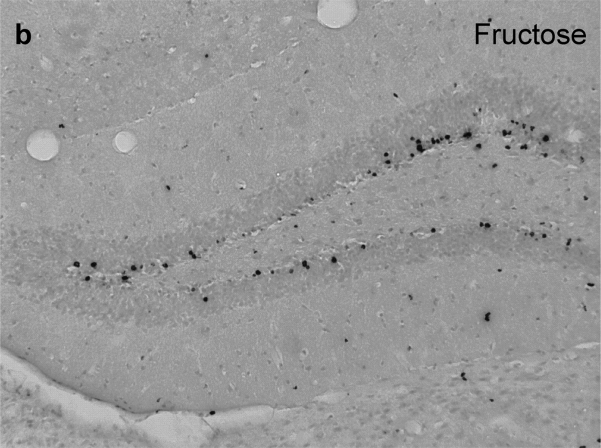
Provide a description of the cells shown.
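This section shows the dentate gyrus of the hippocampus, where the granule cell layer appears as a curved band of tightly packed small cells, somewhat darker than the surrounding tissue. The band forms an upper and a lower blade around a paler central region. Small, round, darkly stained nuclei lie mostly along the inner border of the granule cell layer, several grouped in small clusters, especially in the upper blade. The paler, finely textured tissue outside the band holds only occasional dark dots. A few round empty spaces lie in the tissue at upper left.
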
